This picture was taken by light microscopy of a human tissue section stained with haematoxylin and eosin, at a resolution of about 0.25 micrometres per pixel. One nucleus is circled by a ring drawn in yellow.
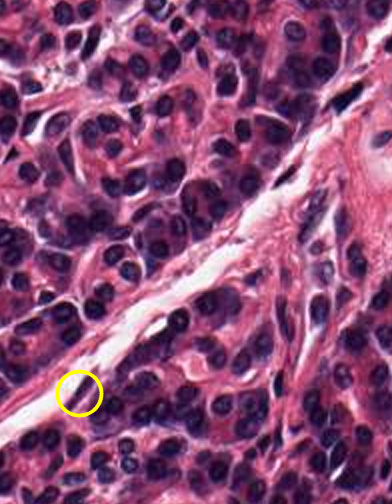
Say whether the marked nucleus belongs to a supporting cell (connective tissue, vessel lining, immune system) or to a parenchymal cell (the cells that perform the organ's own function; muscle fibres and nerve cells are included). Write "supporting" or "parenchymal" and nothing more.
supporting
